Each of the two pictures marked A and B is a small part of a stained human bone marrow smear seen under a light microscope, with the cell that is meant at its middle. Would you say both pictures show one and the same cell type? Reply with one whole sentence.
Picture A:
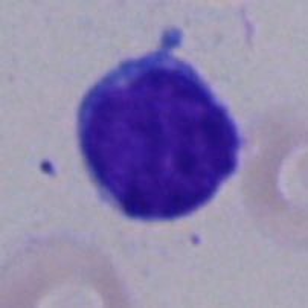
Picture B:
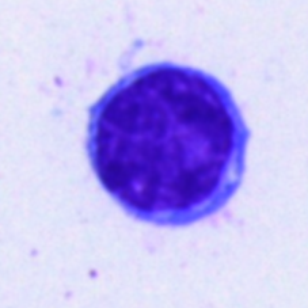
Yes, both cells are lymphocytes.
